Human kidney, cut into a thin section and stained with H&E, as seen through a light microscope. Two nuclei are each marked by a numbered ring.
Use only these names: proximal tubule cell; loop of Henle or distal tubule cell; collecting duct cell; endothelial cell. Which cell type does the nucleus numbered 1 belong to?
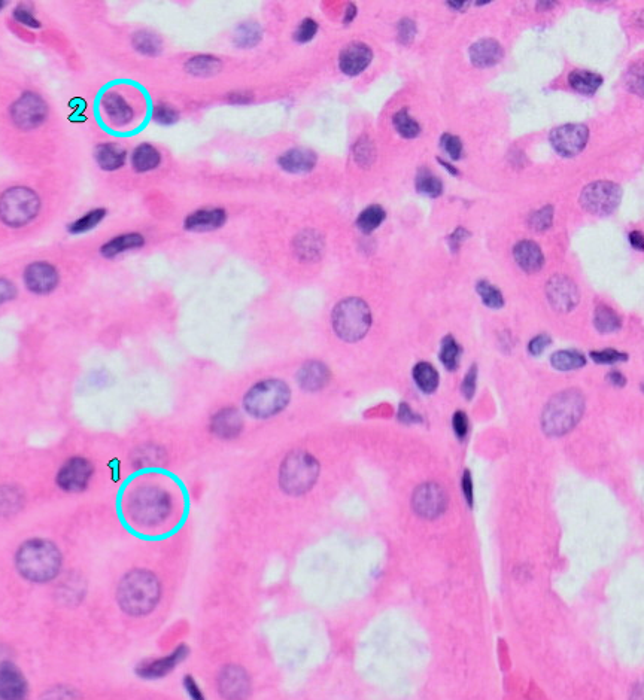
proximal tubule cell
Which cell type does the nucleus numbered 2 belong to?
loop of Henle or distal tubule cell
